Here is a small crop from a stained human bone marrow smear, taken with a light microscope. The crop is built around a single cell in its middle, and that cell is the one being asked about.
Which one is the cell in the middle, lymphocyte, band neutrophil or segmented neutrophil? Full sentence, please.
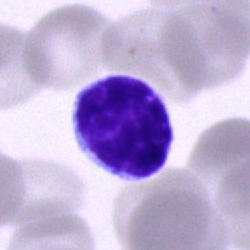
The target cell in the middle of the crop is a lymphocyte.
